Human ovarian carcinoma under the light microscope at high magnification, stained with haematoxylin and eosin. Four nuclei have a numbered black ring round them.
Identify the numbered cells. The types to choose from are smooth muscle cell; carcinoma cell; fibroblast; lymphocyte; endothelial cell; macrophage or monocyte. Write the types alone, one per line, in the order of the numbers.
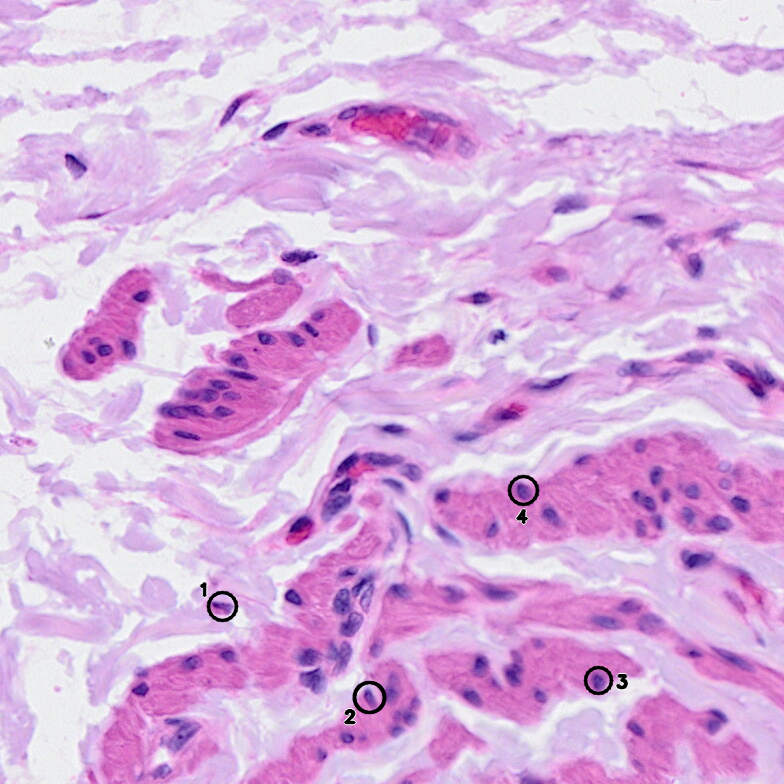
fibroblast
smooth muscle cell
smooth muscle cell
smooth muscle cell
